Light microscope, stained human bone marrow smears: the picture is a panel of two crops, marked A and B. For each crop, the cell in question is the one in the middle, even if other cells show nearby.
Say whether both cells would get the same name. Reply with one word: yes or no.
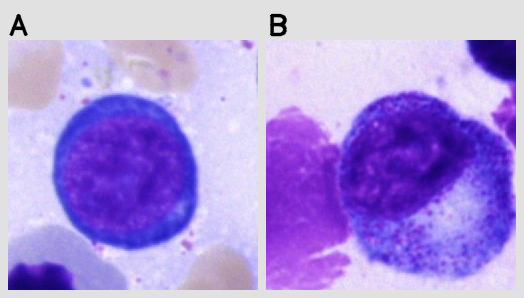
no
